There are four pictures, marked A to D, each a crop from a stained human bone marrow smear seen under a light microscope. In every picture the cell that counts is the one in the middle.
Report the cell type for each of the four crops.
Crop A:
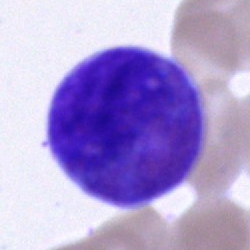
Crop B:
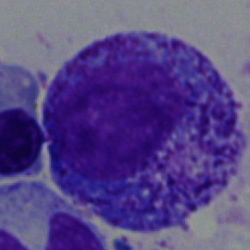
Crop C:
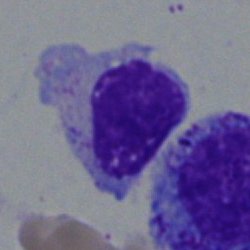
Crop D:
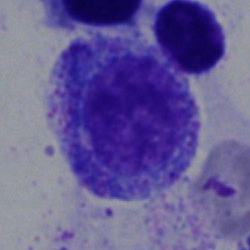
A: eosinophil
B: promyelocyte
C: myelocyte
D: promyelocyte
